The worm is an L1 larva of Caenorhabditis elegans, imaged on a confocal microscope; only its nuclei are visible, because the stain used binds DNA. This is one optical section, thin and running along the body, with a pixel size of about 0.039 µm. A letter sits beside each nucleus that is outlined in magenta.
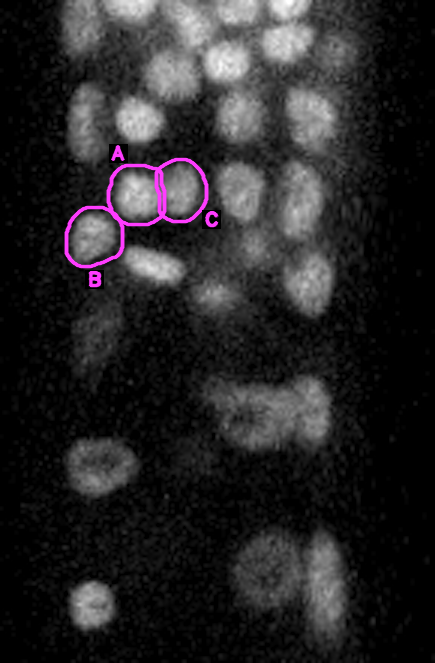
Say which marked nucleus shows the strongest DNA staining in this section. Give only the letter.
A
